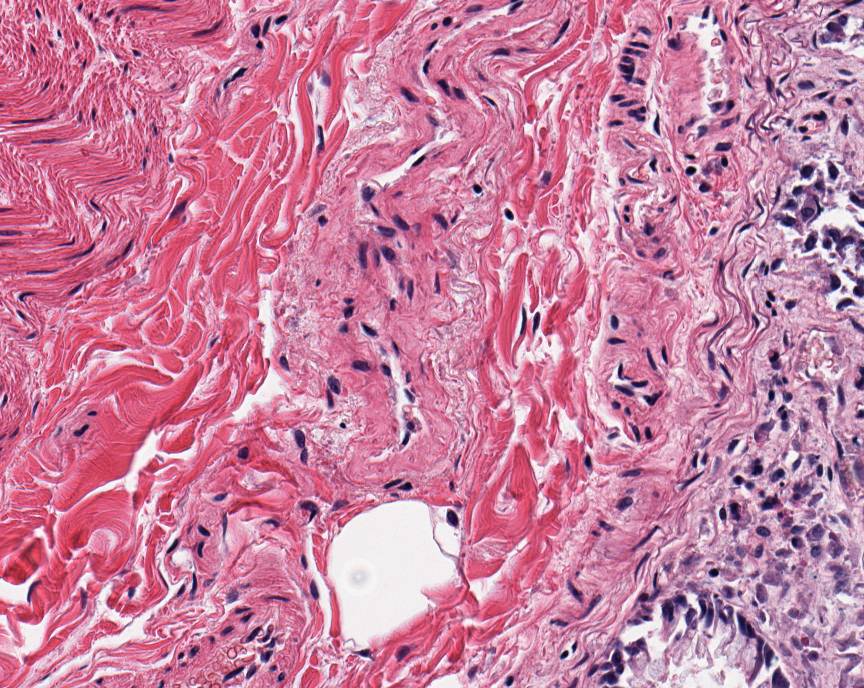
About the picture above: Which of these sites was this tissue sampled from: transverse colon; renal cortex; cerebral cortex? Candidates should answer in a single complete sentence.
The human tissue in this section was sampled from the transverse colon.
